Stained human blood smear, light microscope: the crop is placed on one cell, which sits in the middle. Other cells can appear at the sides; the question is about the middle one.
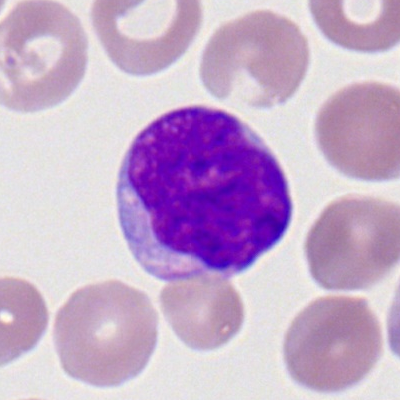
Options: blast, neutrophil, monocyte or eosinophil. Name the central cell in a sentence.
This crop's central cell is a blast.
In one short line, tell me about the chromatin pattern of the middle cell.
In this nucleus, the chromatin is arranged in coarse clumps.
